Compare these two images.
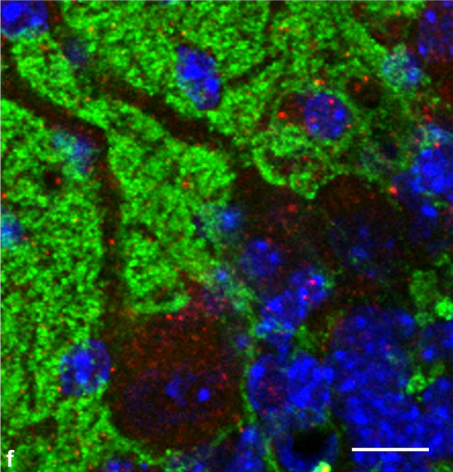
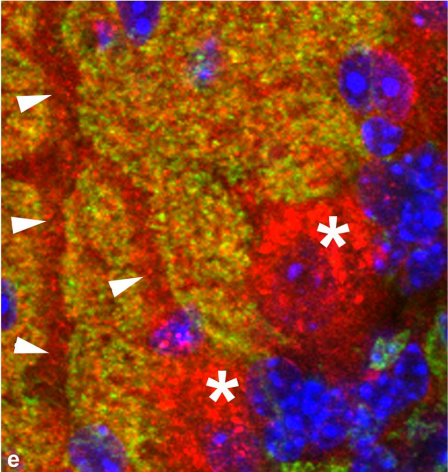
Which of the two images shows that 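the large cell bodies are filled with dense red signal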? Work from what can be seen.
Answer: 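First image: the large cell bodies appear dark with only a few scattered red dots. Second image: the large cell bodies marked by asterisks are bright red. Second image: the neuropil appears yellow-orange where red and green overlap, whereas in the first image it is green. So: the second image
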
